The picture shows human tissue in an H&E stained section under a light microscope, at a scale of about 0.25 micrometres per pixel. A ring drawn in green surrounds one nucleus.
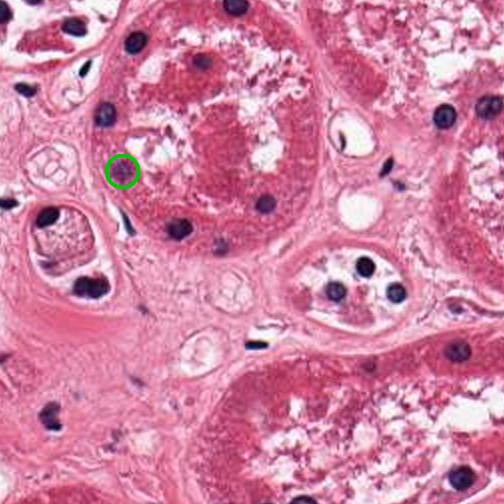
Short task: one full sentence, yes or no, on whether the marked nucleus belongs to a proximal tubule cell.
Yes, the nucleus picked out by the mark belongs to a proximal tubule cell.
